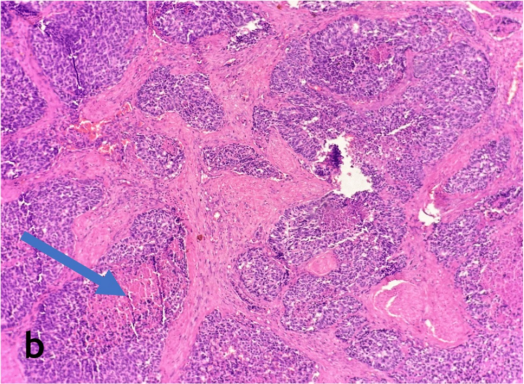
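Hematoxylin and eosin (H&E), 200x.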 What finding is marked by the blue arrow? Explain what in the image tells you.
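Within a rounded cluster of dark blue cells the arrow points to a pale pink, acellular-looking area with fragmented debris. The pink area sits inside the cell cluster rather than in the surrounding stroma.
Conclusion: comedo necrosis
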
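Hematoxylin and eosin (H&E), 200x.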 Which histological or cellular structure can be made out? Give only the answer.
nests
